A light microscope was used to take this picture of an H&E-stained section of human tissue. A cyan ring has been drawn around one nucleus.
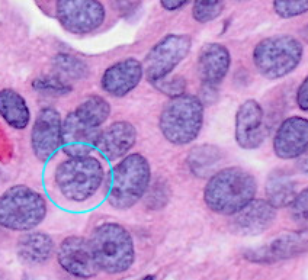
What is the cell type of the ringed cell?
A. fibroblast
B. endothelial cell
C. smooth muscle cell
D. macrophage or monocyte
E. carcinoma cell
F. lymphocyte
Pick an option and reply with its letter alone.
E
